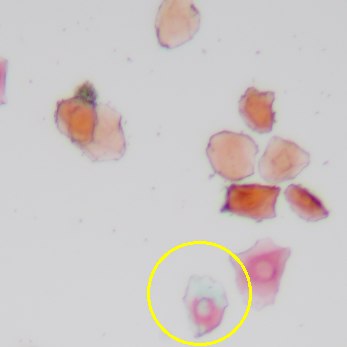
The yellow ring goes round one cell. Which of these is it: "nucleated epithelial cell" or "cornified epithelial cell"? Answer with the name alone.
nucleated epithelial cell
